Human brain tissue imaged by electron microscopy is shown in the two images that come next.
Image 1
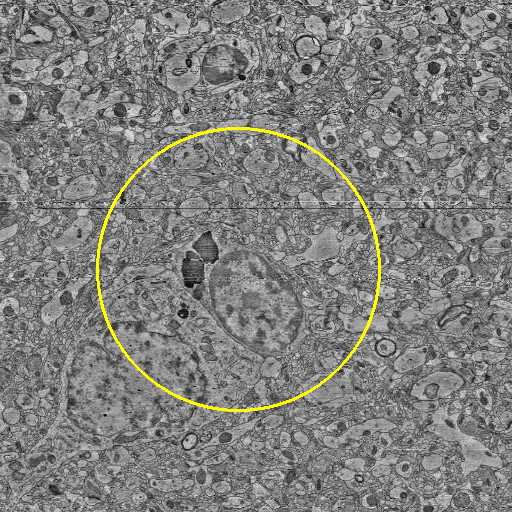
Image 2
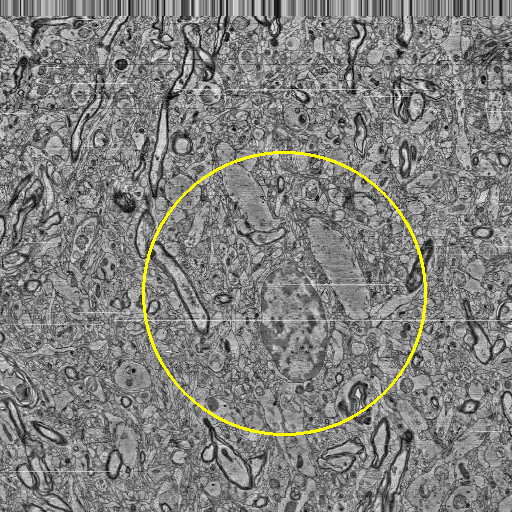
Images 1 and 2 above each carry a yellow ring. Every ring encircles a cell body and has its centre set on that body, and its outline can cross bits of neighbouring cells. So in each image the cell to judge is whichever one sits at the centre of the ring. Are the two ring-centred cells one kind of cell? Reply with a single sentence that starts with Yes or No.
No, in Image 1 and Image 2 the cells at the centres of their rings fall into two types.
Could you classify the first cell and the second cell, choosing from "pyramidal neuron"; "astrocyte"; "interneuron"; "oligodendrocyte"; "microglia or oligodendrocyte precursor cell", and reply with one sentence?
The second cell is a microglial cell or oligodendrocyte precursor cell, while the first is an oligodendrocyte.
